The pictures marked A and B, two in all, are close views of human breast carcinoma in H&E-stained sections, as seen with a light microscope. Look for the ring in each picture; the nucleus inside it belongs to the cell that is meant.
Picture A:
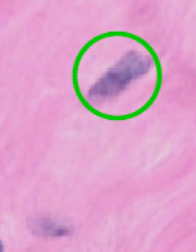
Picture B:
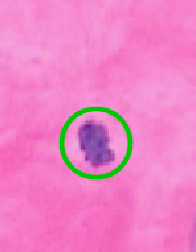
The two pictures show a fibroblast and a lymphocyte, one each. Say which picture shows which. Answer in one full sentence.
Picture A shows a fibroblast and picture B shows a lymphocyte.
